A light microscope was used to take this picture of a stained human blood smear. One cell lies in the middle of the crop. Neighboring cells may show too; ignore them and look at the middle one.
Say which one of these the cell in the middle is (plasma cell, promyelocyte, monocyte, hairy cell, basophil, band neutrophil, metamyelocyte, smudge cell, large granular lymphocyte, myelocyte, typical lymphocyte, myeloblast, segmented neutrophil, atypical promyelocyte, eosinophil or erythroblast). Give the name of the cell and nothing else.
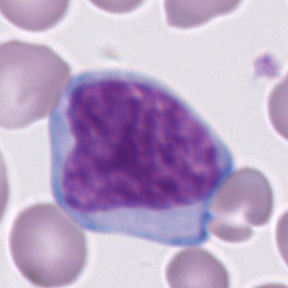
myeloblast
